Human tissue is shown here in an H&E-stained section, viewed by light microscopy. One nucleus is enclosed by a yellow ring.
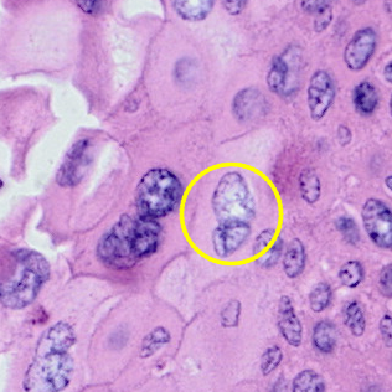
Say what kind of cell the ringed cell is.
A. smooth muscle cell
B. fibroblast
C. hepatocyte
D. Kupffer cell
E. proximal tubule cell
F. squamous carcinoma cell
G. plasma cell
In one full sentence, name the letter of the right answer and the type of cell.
Option F is the correct one: the ringed cell is a squamous carcinoma cell.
